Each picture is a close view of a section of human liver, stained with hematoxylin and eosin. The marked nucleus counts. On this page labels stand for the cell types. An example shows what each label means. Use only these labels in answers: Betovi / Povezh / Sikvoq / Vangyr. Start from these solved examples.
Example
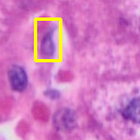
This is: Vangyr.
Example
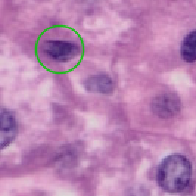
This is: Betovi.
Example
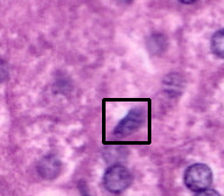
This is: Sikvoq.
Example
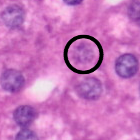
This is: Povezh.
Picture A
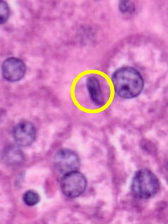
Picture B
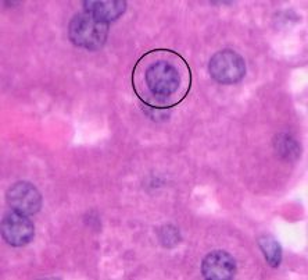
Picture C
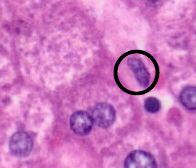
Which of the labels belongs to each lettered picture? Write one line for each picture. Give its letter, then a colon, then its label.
A: Sikvoq.
B: Povezh.
C: Vangyr.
